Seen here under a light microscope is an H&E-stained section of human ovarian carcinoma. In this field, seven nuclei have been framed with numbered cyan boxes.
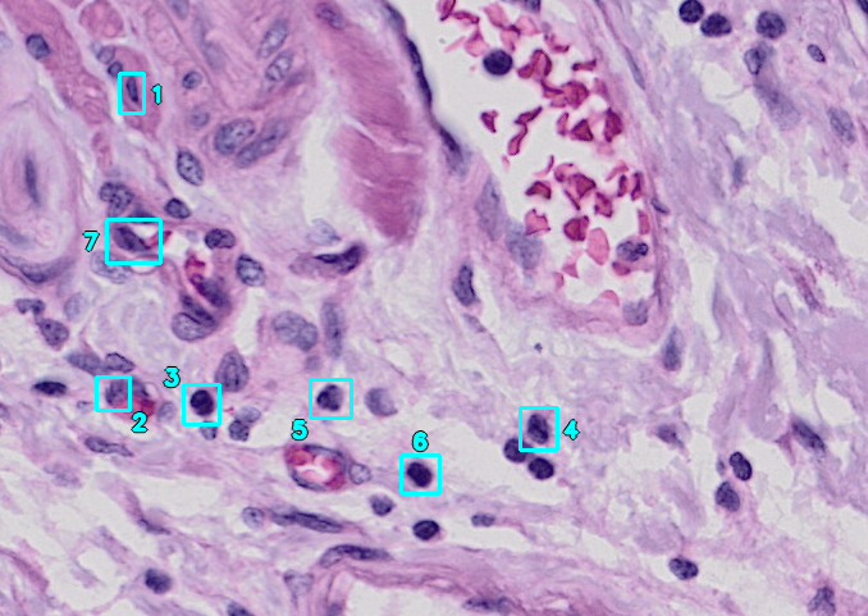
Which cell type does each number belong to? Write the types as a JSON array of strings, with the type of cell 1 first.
["smooth muscle cell", "endothelial cell", "lymphocyte", "lymphocyte", "lymphocyte", "lymphocyte", "endothelial cell"]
